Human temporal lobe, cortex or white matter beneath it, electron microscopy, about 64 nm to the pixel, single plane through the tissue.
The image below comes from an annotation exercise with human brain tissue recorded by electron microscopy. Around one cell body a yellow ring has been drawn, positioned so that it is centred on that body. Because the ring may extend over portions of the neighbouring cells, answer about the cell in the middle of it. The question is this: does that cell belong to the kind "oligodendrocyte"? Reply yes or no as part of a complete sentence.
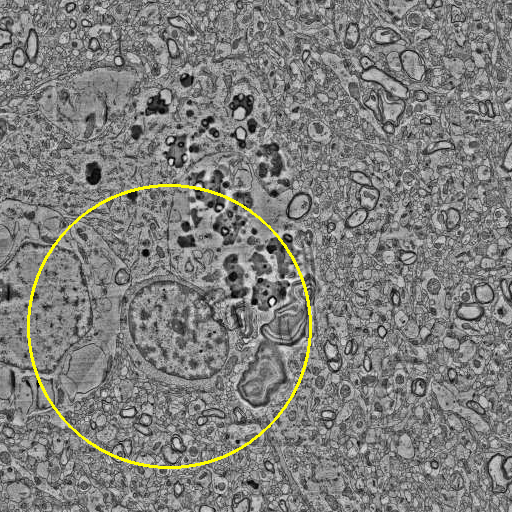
Yes, in the image the cell in the middle of the ring is of the kind asked about.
